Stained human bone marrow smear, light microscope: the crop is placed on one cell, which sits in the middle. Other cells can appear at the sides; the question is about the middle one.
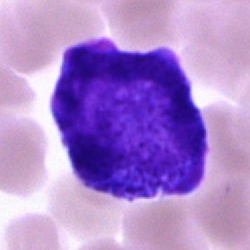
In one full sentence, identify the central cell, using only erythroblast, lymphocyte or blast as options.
The centrally placed cell is classified as a blast.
